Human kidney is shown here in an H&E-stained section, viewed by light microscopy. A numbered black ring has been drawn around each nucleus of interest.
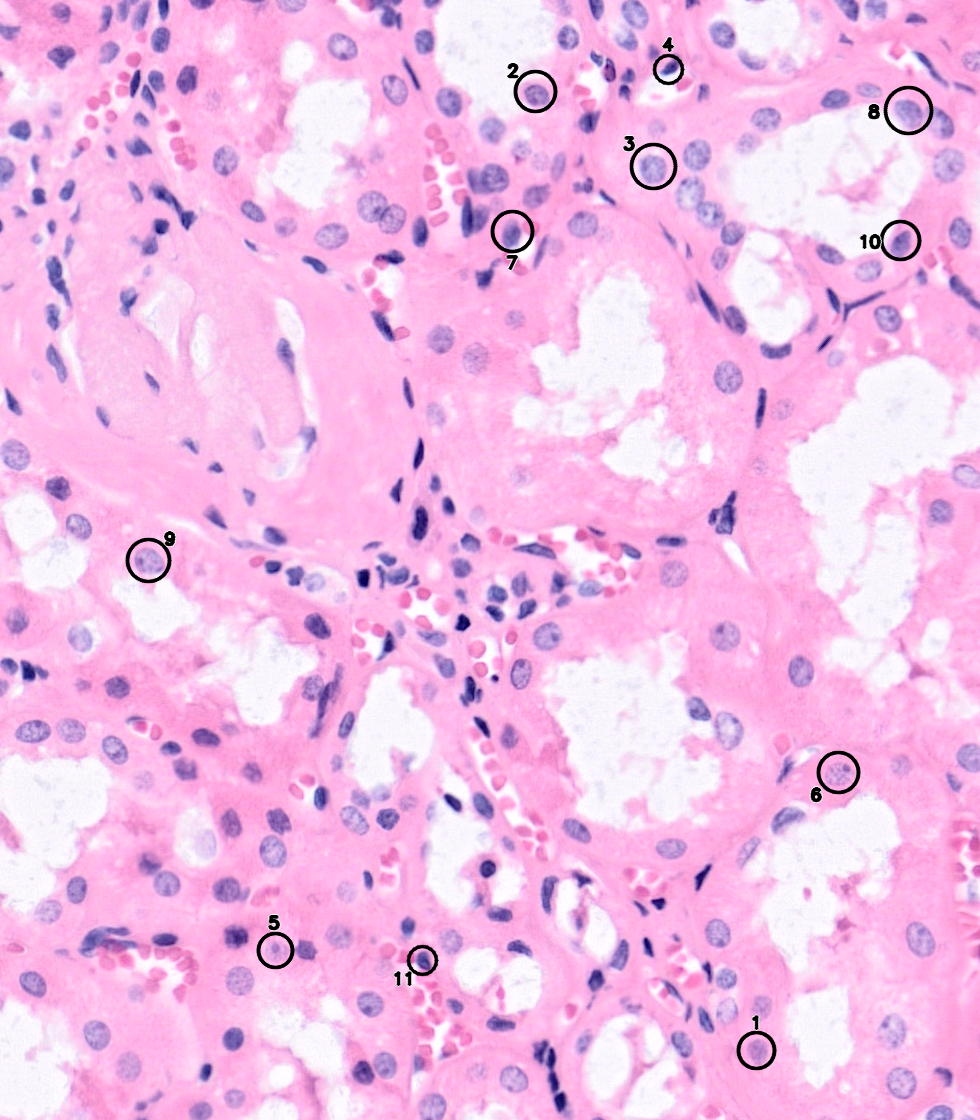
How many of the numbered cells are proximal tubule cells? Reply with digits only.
4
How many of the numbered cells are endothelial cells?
3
